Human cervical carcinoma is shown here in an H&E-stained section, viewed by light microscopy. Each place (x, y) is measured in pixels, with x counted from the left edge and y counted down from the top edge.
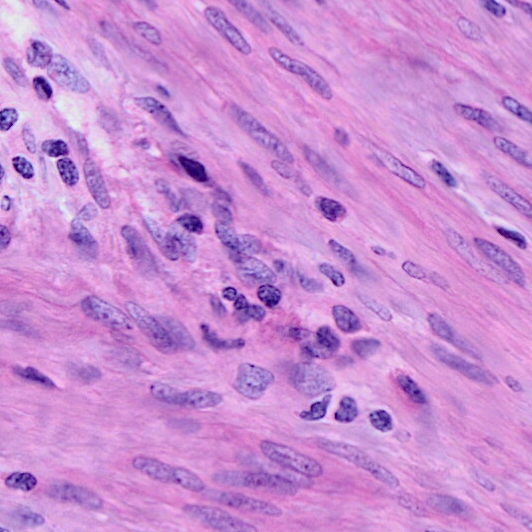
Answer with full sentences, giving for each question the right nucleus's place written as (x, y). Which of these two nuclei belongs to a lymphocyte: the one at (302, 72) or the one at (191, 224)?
The member of the pair belonging to a lymphocyte is the nucleus at (191, 224).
